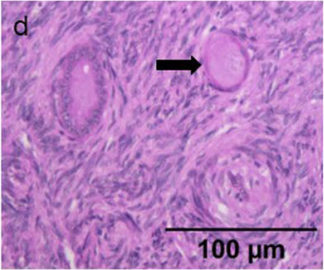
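This is ovarian cortex with a primordial follicle lying in dense stroma. The follicle is a small round oocyte with pink cytoplasm, bordered by only a thin flattened layer of cells. Around it, the stroma is made of closely packed spindle-shaped cells with elongated purple nuclei running in streams. Other small rounded structures lie nearby in the same stroma.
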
